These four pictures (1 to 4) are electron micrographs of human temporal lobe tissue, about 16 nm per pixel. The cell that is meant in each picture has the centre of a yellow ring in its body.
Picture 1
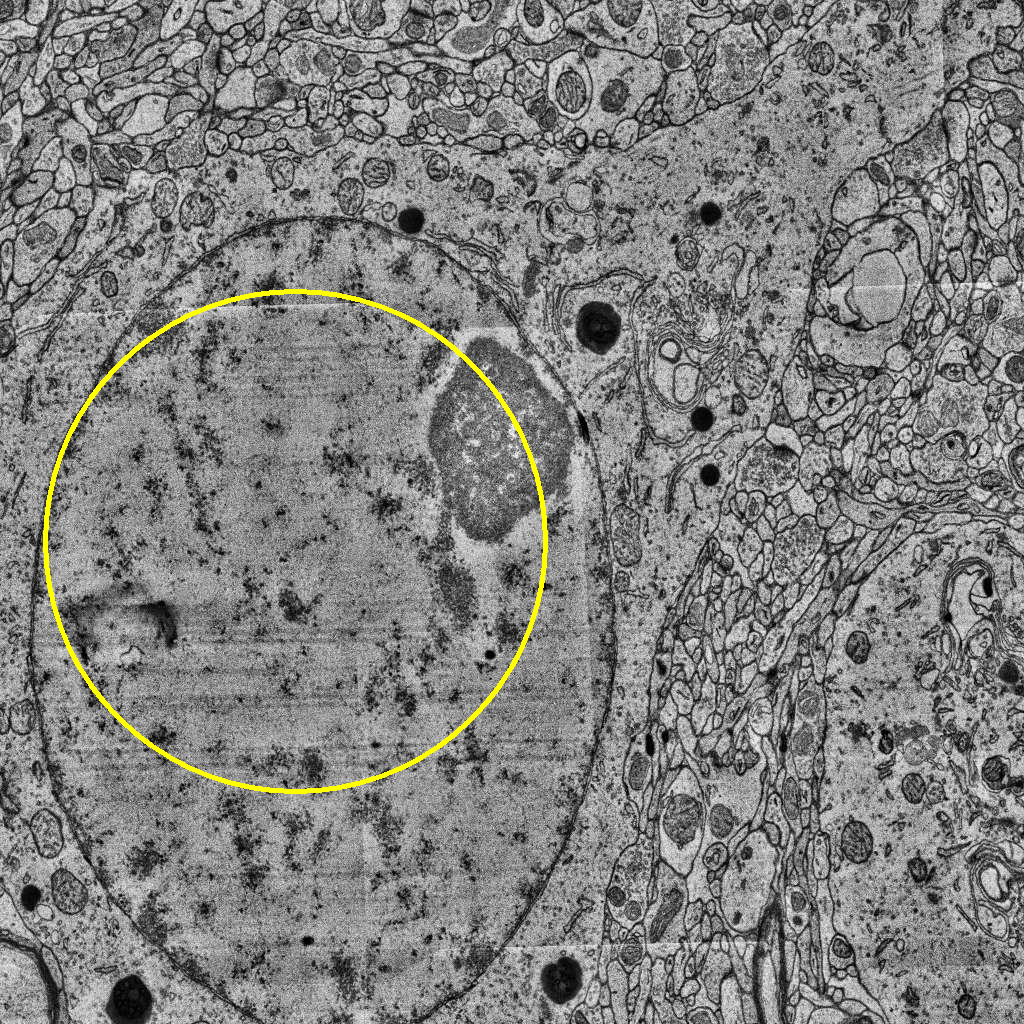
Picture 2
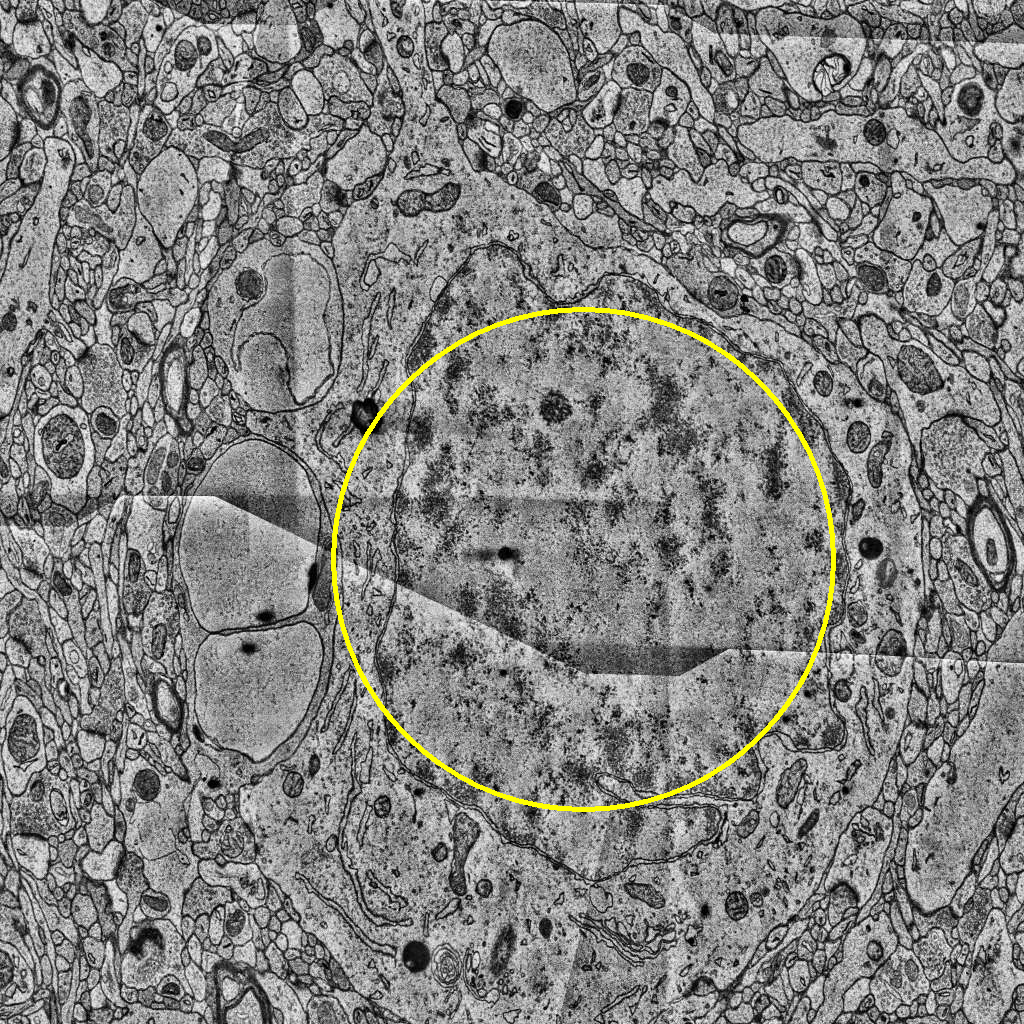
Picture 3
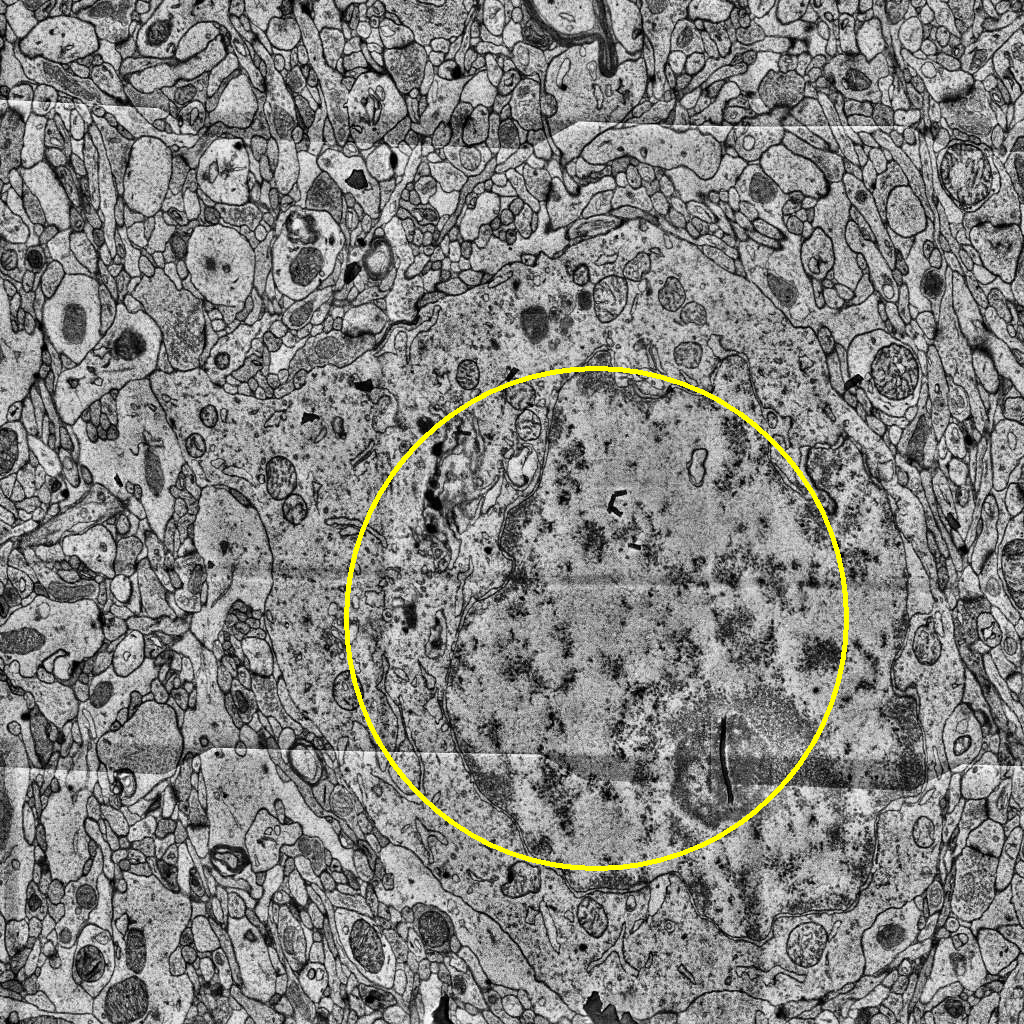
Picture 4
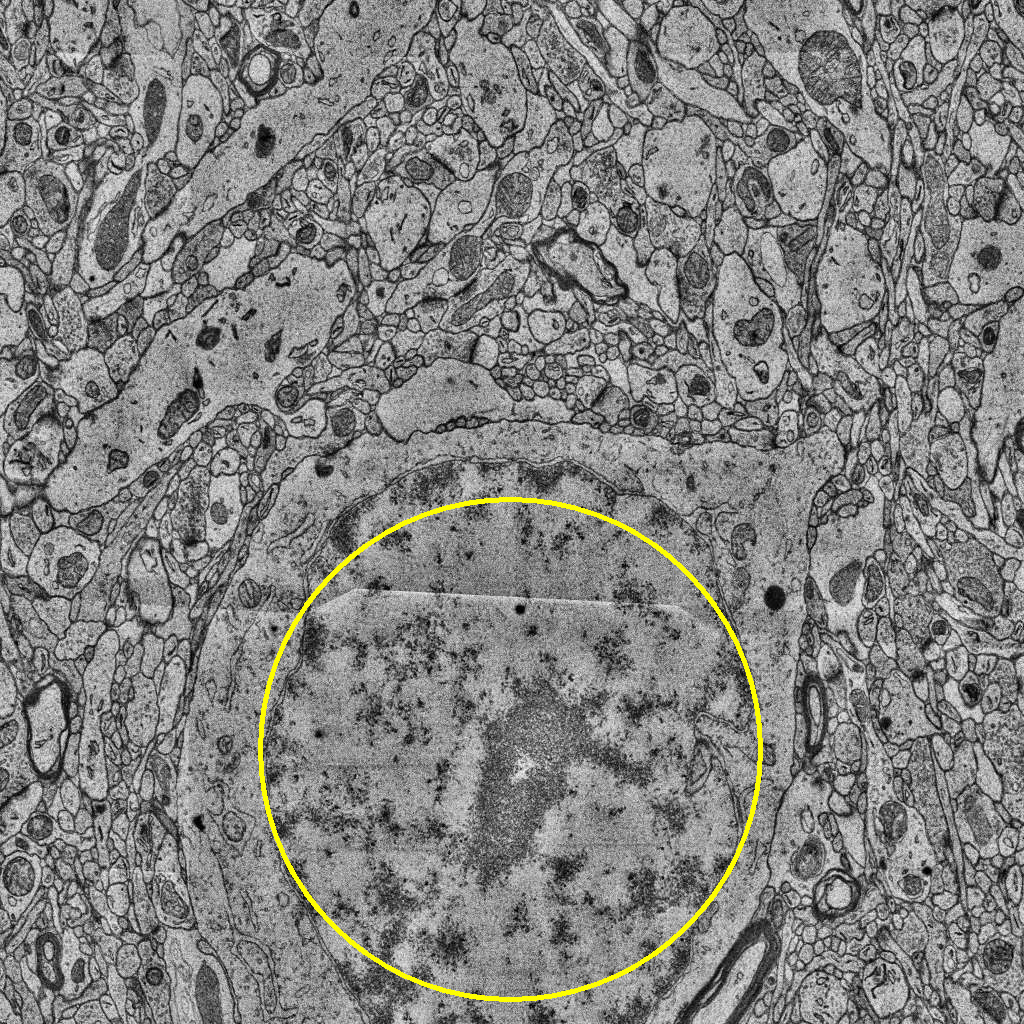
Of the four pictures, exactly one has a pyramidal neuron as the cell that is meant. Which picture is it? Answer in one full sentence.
The pyramidal neuron is the one in picture 1.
